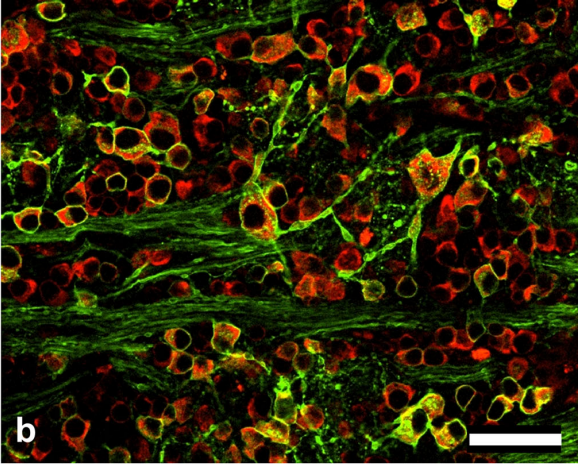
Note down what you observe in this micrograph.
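This is a whole-mounted retina seen face-on at the level of the retinal ganglion cells, whose round cell bodies are filled with red stain around a dark, unstained nucleus. The cell bodies are packed closely in one layer, varying somewhat in size. Many of them are also outlined or filled in green, looking yellow where both colours overlap, and some green cells send out branching processes. Straight bundles of thin green fibres run in parallel across the field between the cell bodies.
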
